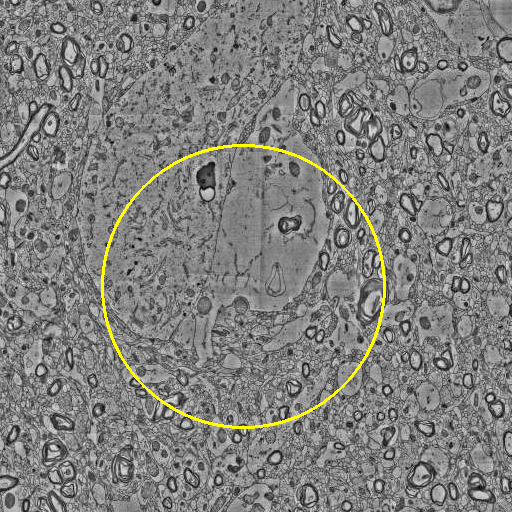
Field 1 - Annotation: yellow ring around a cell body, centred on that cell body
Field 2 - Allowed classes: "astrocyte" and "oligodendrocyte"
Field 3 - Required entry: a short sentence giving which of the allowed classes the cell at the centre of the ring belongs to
The centred cell is an oligodendrocyte.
